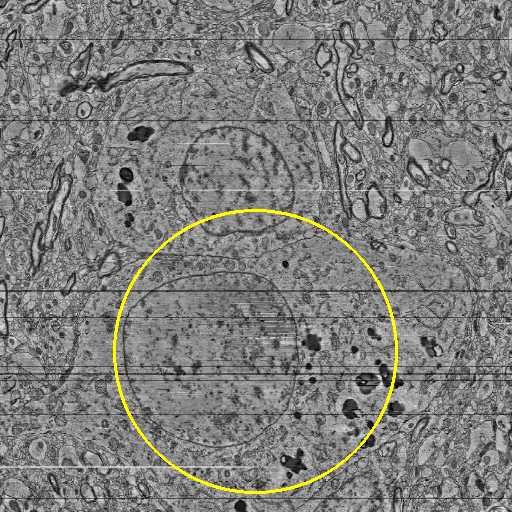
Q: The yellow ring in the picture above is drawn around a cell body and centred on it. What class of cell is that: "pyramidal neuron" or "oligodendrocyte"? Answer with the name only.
pyramidal neuron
